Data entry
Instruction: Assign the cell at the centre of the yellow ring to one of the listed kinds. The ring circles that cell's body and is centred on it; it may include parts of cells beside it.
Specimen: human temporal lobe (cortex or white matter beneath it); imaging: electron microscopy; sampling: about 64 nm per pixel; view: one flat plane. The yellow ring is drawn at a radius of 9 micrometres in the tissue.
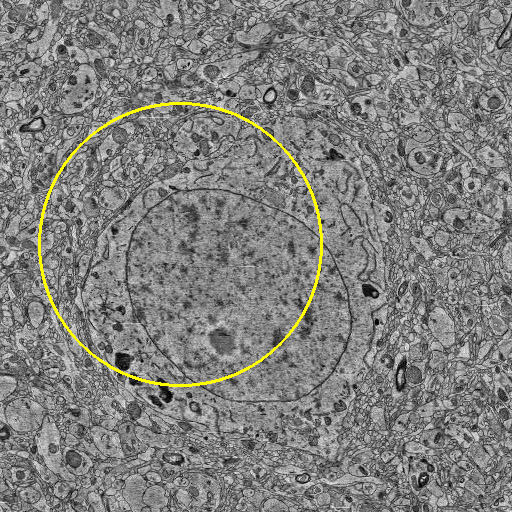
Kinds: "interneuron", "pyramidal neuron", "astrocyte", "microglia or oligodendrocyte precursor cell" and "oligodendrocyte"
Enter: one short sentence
The centre of the ring falls on a pyramidal neuron.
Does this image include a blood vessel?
No, no vessel appears in the picture.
